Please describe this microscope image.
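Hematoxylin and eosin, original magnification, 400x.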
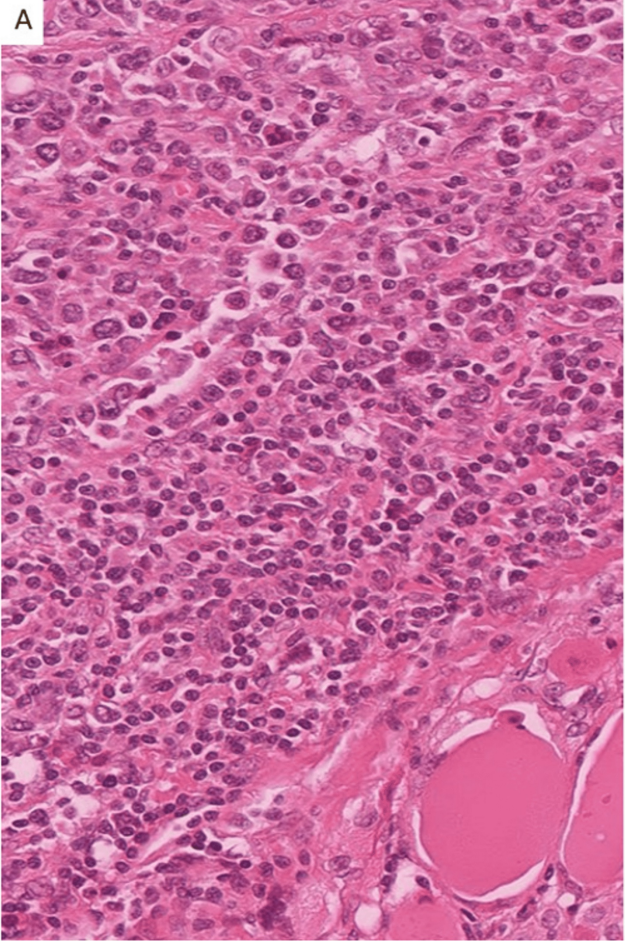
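This is thyroid tissue diffusely replaced by sheets of large atypical lymphoid cells. The cells lie loosely, each with a large round to oval nucleus, open chromatin and often a visible nucleolus, and only a thin rim of pink cytoplasm; smaller dark lymphocytes are mixed among them.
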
